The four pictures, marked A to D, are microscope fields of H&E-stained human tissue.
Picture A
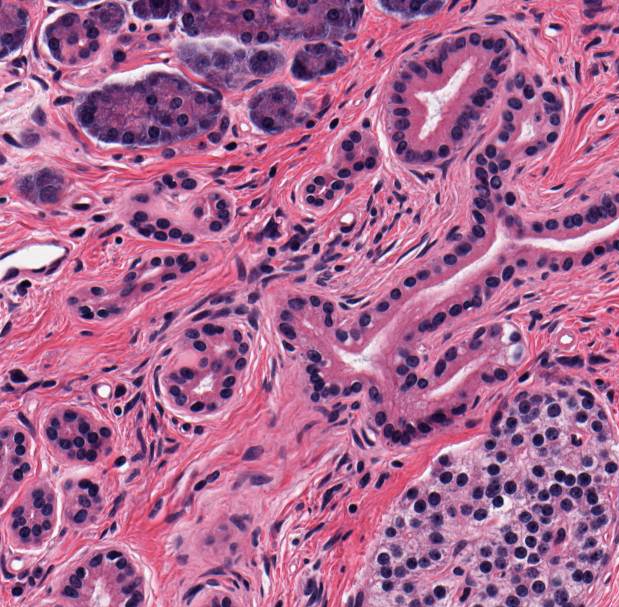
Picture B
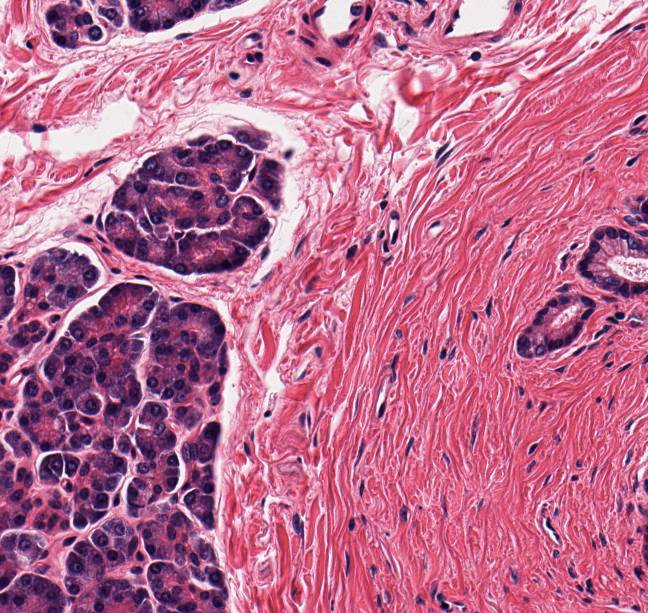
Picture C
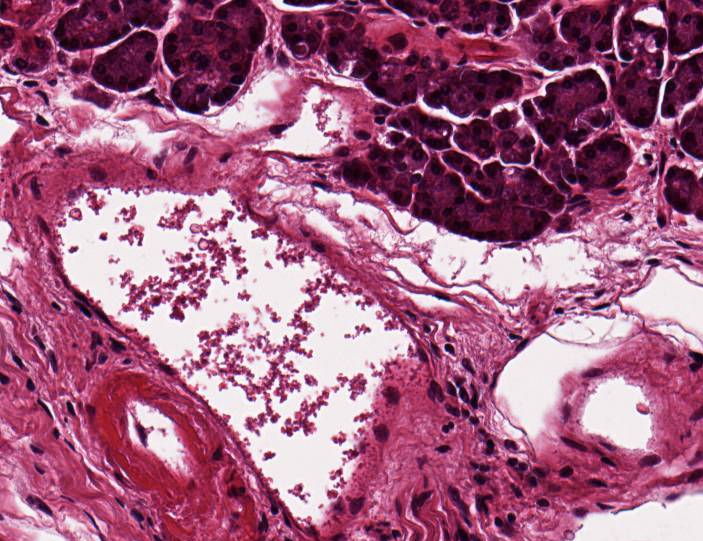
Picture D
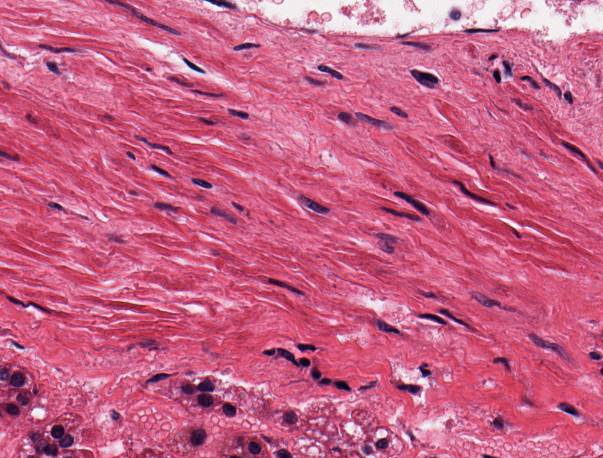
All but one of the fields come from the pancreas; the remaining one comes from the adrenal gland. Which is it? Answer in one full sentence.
It is picture D that comes from the adrenal gland.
